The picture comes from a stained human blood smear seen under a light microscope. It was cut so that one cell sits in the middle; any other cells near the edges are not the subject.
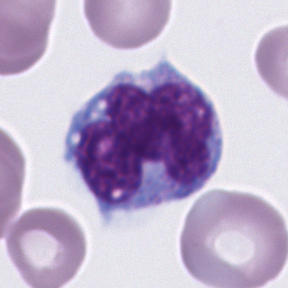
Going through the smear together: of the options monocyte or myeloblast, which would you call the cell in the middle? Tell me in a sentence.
In short, the cell at the center is a monocyte.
